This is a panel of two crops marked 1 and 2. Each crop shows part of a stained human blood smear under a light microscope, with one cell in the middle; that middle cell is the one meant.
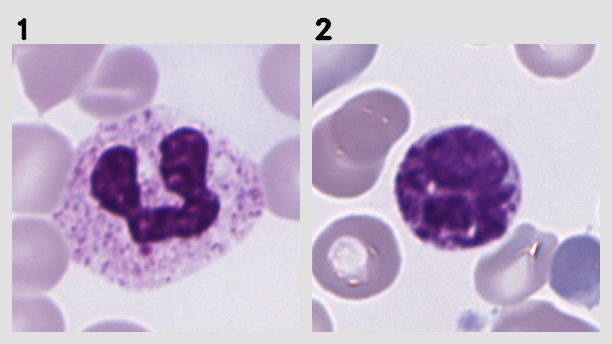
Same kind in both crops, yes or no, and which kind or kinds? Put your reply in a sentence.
No, in fact crop 1 shows a segmented neutrophil, and crop 2 shows a basophil.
